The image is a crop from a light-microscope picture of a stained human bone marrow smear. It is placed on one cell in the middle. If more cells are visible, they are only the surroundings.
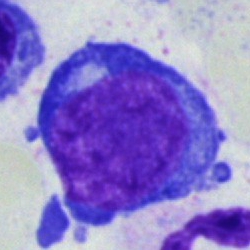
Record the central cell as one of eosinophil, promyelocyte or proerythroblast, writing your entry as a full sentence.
In the middle of this smear crop is a proerythroblast.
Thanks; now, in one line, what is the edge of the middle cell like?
The cell is outlined unevenly, the border being ragged or extended into projections.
